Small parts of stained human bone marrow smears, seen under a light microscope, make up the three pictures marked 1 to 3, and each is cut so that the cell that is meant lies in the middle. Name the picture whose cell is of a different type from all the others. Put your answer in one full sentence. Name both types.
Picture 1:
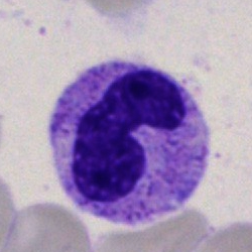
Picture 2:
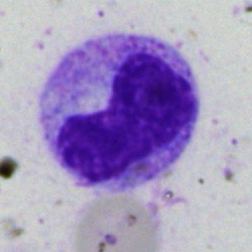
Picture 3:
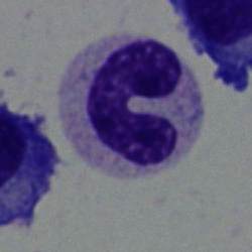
Unlike the rest, which show band neutrophils, picture 2 shows a metamyelocyte.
